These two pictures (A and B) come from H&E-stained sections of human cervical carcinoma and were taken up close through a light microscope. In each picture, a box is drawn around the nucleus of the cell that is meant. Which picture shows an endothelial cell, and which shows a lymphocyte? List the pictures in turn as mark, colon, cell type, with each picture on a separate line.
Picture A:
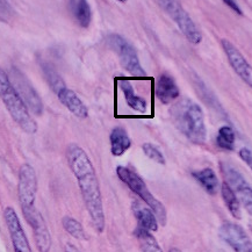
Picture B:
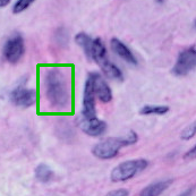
A: lymphocyte
B: endothelial cell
